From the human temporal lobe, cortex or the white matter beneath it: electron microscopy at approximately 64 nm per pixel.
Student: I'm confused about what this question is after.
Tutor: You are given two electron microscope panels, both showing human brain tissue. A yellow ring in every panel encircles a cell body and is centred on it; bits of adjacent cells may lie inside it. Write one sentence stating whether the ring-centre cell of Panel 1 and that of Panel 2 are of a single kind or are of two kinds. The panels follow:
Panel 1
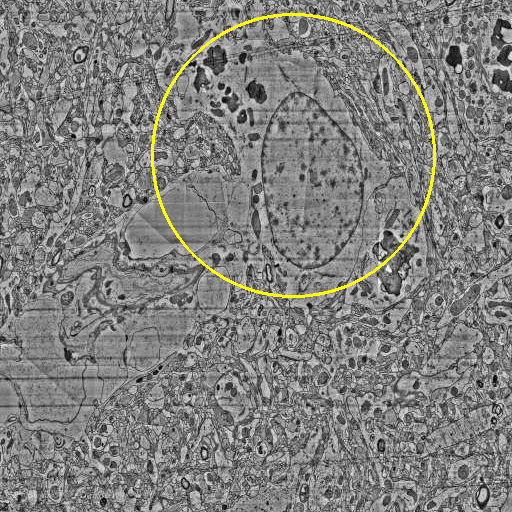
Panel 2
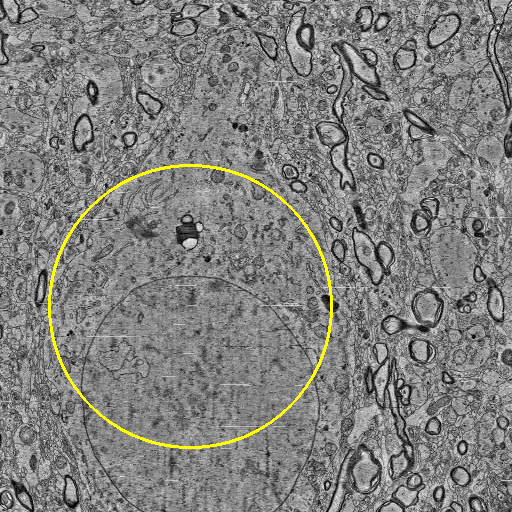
Here, the Panel 1 ring-centre cell and the Panel 2 ring-centre cell are of two kinds.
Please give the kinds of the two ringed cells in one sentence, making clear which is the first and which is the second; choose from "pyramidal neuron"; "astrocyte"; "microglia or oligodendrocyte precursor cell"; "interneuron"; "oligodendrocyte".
In the second picture the ringed cell is a pyramidal neuron; in the first it is an astrocyte.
